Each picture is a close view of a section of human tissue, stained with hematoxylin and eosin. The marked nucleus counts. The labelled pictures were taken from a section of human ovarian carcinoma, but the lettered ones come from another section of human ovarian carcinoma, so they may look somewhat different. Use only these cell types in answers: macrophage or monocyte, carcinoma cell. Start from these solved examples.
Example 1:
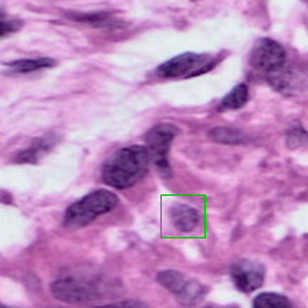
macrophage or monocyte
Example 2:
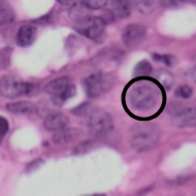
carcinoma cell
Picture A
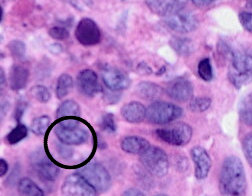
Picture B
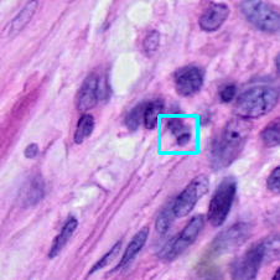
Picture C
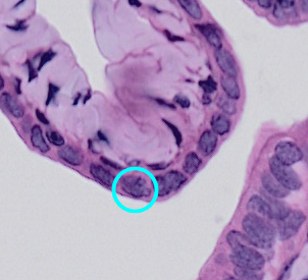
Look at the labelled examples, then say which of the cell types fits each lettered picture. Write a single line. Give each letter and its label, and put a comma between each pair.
A carcinoma cell, B macrophage or monocyte, C carcinoma cell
